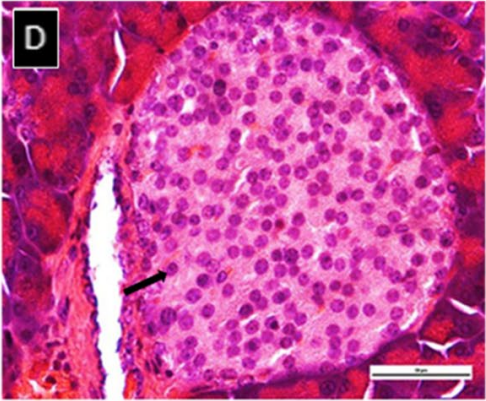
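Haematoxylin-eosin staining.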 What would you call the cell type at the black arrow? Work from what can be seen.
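The arrow points into a large pale-staining cluster of cells. The cluster cells have round dark nuclei and pale pink cytoplasm. The cluster is surrounded by deeply red-staining acinar tissue. That points to this answer: Endocrine cells.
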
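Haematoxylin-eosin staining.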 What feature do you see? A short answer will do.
Islets of Langerhans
